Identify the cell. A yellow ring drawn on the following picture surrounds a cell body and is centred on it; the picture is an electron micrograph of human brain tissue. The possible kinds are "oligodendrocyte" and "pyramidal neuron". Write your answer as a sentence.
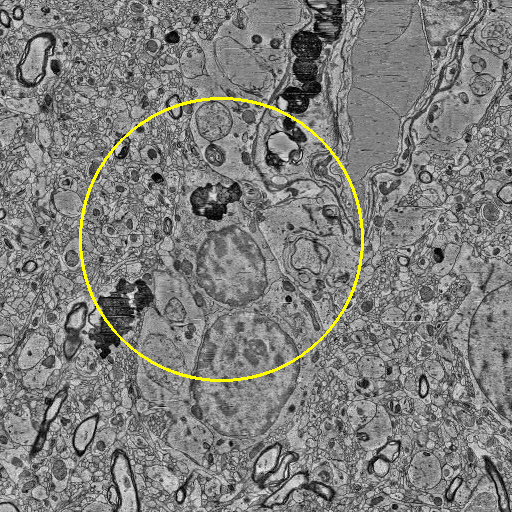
The cell identified by the ring is an oligodendrocyte.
